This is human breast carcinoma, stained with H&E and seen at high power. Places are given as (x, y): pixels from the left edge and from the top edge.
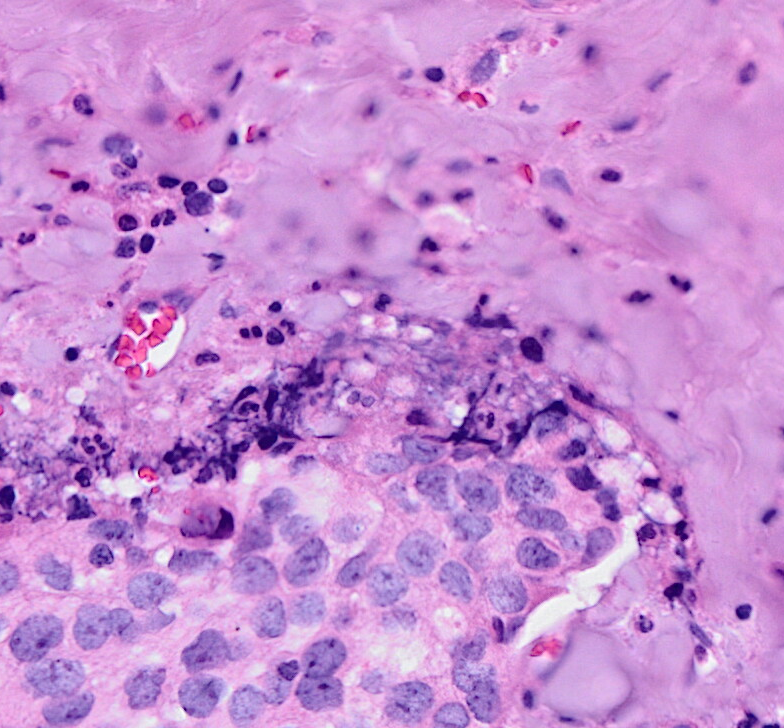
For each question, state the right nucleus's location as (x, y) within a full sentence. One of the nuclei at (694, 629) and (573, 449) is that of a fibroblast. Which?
Heads up, the nucleus at (694, 629) is the one that belongs to a fibroblast.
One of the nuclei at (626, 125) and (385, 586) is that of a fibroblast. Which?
That would be the nucleus at (626, 125); it belongs to a fibroblast.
